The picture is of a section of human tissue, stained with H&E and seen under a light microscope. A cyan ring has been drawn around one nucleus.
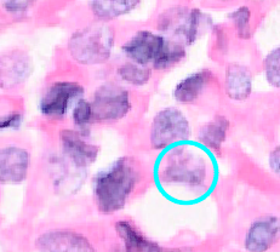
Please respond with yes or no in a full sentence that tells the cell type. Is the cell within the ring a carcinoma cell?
Yes, correct on this one: the cell within the ring is a carcinoma cell.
